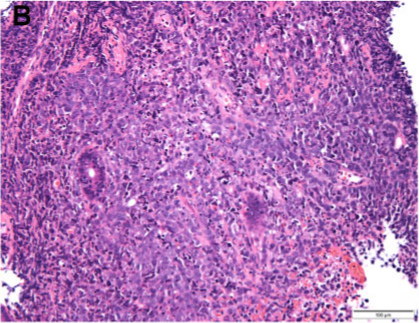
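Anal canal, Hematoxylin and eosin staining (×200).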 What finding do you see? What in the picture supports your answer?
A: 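Dense sheets of closely packed cells fill the field. The nuclei are dark purple and vary in size and shape.
Large atypical pleomorphic lymphocytic nucleus with multiple nucleoli.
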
